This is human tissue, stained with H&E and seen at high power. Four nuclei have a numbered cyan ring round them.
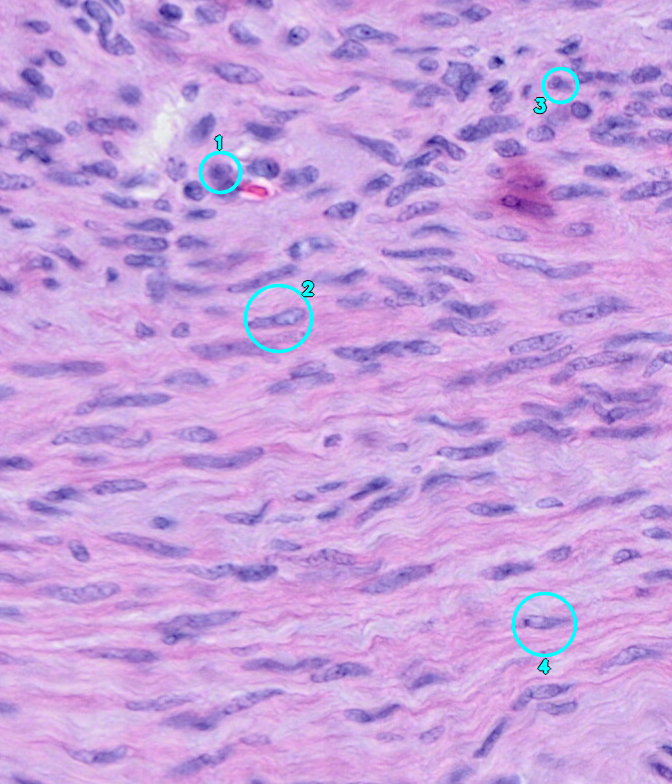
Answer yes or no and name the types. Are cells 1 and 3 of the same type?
No: cell 1 is an endothelial cell, while cell 3 is a smooth muscle cell.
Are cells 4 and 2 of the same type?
Yes, cell 4 and cell 2 are both smooth muscle cells.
